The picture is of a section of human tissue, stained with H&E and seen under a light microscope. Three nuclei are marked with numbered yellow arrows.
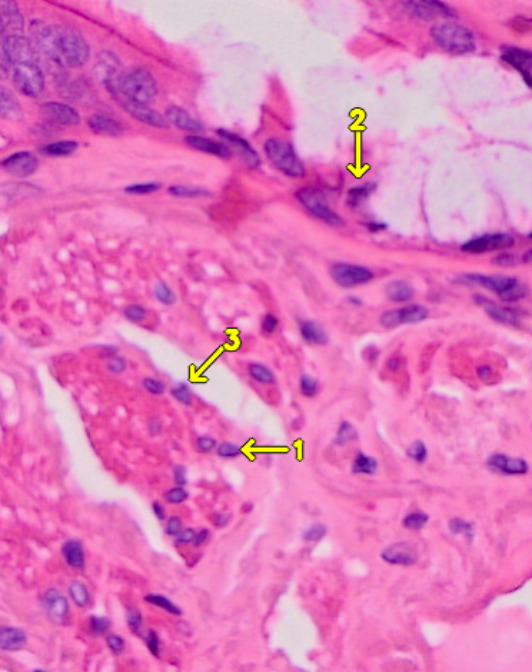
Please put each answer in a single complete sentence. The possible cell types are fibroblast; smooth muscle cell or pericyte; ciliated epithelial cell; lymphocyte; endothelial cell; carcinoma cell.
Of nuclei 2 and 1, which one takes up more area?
Nucleus 2 covers more area, about 2 times as much as nucleus 1.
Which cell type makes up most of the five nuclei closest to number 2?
Of the five nuclei nearest to number 2, most belong to ciliated epithelial cells.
